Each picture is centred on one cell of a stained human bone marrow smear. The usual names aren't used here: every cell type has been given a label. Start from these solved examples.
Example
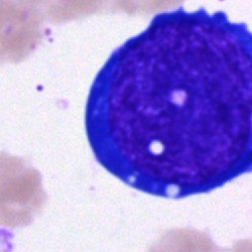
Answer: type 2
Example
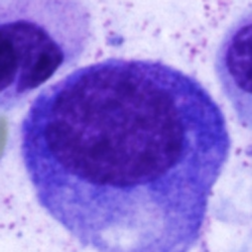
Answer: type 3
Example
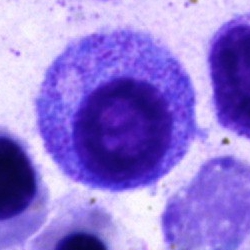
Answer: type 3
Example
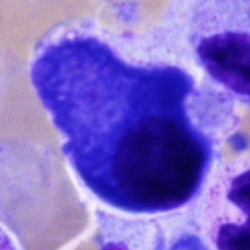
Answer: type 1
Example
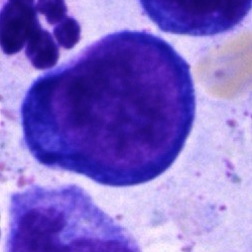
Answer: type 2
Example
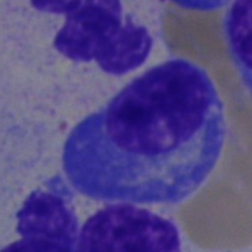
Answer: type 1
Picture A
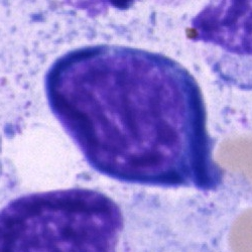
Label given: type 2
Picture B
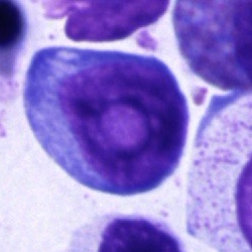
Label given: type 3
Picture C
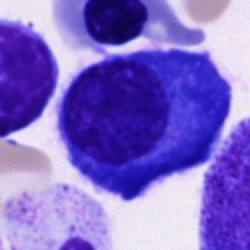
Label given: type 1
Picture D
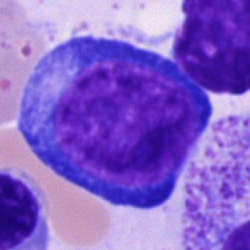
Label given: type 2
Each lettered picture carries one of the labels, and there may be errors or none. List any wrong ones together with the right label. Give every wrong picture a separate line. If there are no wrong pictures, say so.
B is labelled type 3; correct label: type 2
